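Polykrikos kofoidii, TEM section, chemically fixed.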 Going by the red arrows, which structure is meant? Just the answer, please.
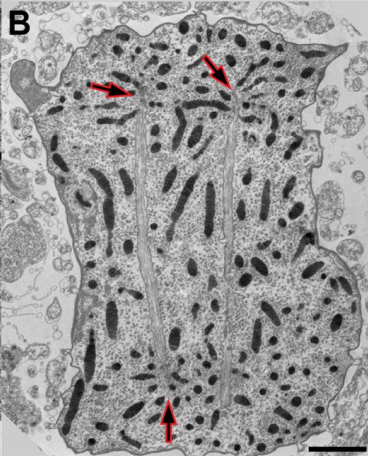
Dinomitotic tunnels.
